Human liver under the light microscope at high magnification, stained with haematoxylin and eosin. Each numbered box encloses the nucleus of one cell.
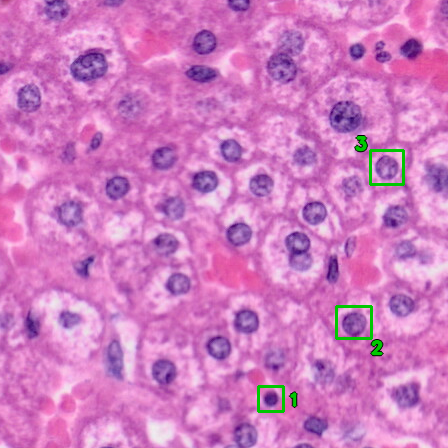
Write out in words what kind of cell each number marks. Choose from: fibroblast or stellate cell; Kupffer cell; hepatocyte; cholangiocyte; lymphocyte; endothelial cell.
Cell 1 is a lymphocyte. Cells 2 and 3 are hepatocytes.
